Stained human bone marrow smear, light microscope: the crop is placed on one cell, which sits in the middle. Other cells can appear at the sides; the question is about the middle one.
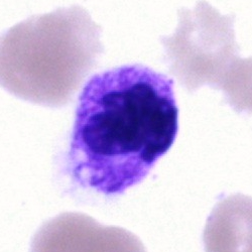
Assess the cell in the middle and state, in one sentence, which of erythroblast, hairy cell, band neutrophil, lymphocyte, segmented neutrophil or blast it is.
In the middle of this smear crop is a segmented neutrophil.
